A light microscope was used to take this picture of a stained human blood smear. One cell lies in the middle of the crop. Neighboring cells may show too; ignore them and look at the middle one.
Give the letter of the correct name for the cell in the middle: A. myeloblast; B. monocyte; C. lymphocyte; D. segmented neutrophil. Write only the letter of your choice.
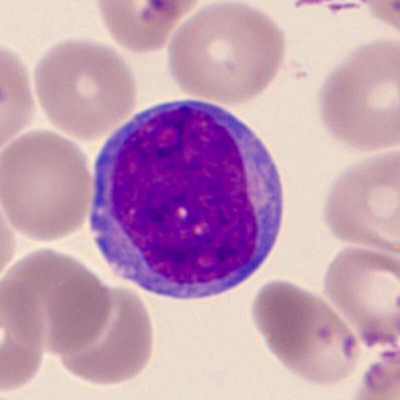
A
